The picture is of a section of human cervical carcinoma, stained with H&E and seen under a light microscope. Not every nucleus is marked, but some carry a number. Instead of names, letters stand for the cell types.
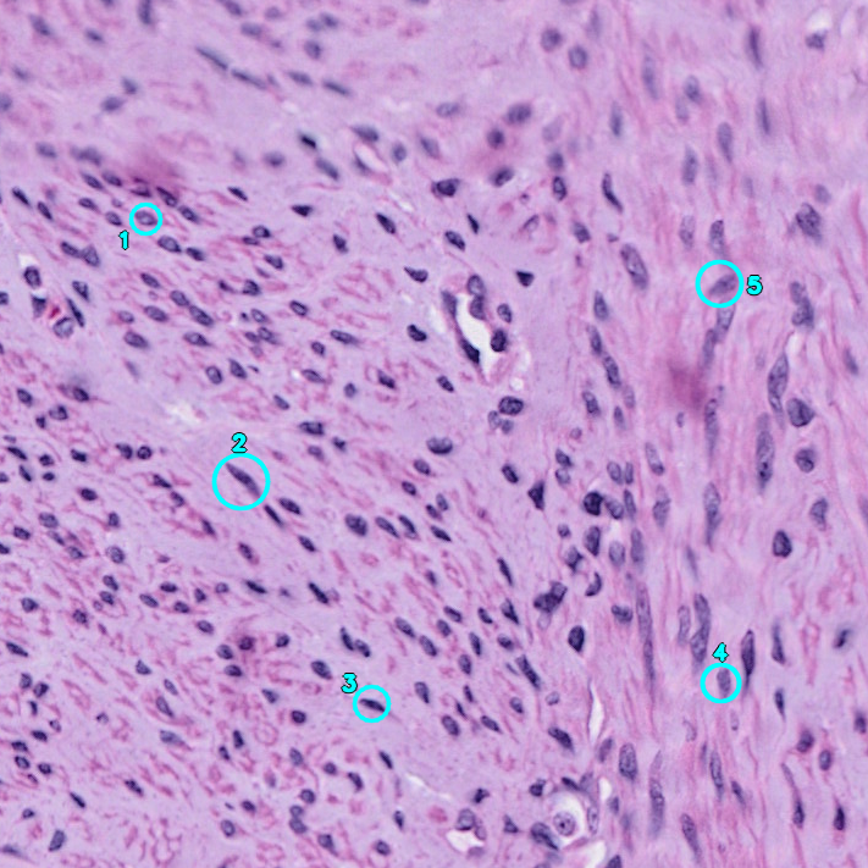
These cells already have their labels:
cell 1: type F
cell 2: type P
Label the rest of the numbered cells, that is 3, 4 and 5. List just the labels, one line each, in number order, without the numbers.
type P
type P
type F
